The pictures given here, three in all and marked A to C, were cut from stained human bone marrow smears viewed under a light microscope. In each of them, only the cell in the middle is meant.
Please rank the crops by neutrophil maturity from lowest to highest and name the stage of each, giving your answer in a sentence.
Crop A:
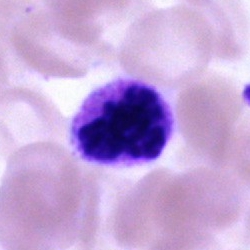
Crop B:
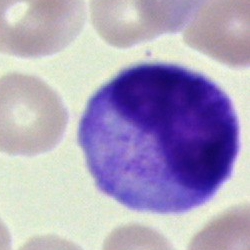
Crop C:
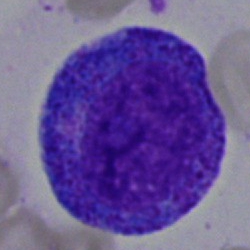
Along the maturation line, from least to most mature, sit crop C (a promyelocyte), crop B (a metamyelocyte) and crop A (a segmented neutrophil).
